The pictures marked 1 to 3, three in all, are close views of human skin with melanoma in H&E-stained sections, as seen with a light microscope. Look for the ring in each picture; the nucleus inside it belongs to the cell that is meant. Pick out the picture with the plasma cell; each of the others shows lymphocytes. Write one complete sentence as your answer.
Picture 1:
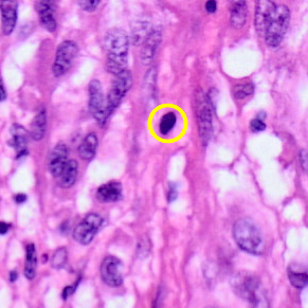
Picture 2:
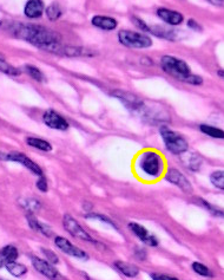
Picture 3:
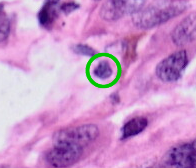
The plasma cell is the one in picture 2.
